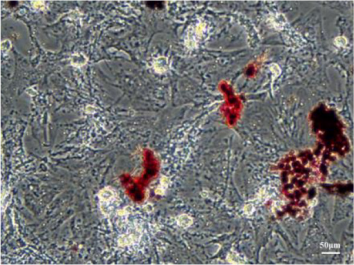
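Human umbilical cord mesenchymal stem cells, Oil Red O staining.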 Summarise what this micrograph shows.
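A few groups of cells are packed with red to dark red droplets, forming bright red clumps, while most of the surrounding cells are flattened, irregular and unstained, appearing grey in the background. Some rounded, refractile cells with a bright halo sit among them.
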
